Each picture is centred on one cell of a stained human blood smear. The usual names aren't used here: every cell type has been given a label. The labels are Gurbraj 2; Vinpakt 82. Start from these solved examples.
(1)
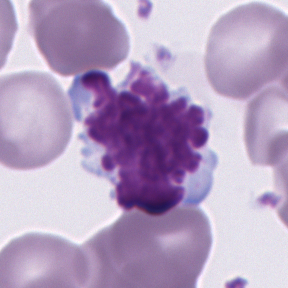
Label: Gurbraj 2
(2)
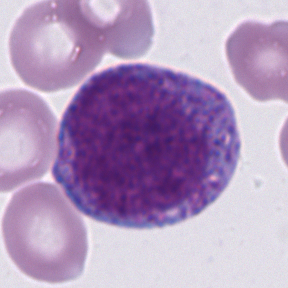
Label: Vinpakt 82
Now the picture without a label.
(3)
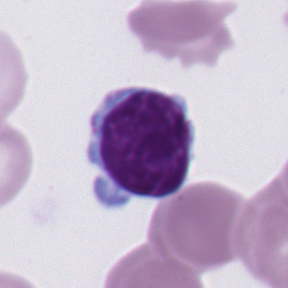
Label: Gurbraj 2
